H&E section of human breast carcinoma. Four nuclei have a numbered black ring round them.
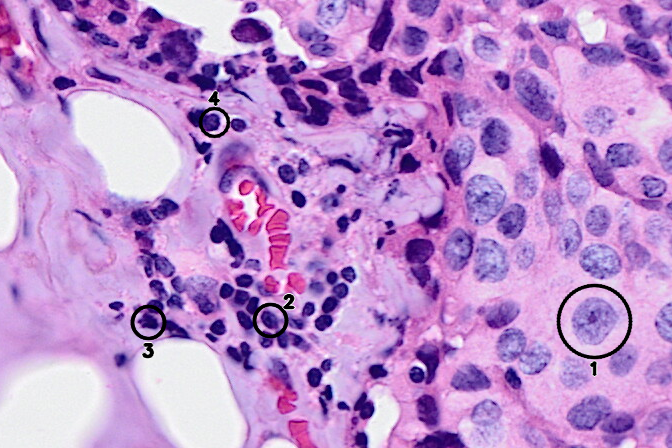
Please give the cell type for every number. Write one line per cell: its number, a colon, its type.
1: carcinoma cell
2: lymphocyte
3: lymphocyte
4: lymphocyte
